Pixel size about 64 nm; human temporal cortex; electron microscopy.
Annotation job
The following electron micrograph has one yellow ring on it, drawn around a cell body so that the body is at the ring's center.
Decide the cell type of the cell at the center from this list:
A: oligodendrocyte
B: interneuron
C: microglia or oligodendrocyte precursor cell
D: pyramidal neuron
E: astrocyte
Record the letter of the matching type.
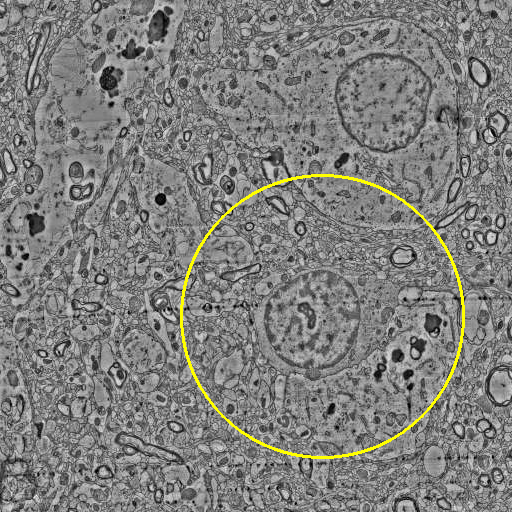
A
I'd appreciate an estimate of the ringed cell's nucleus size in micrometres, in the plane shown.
Roughly 6 micrometers across in this plane.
